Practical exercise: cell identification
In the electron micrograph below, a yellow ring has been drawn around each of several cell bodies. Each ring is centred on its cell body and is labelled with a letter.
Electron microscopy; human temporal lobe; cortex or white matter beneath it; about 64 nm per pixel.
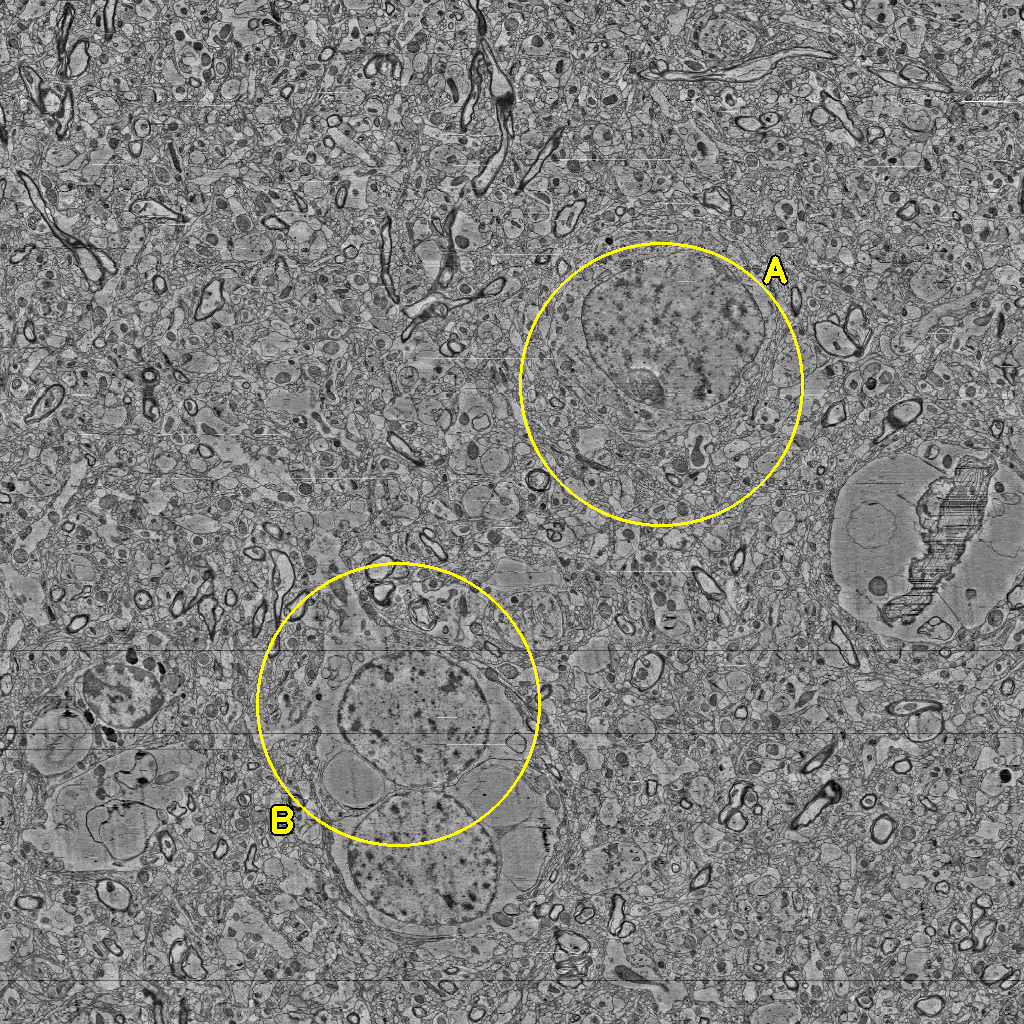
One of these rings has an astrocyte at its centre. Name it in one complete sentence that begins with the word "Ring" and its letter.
Ring B has that cell at its centre.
